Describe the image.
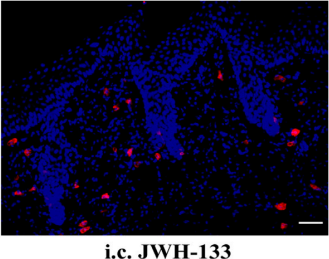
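This is a section of skin with the densely nucleated epidermis and elongated hair follicles outlined by blue nuclei. Small, compact red cells are scattered one by one through the dermis between the follicles, standing out against the looser field of blue nuclei.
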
